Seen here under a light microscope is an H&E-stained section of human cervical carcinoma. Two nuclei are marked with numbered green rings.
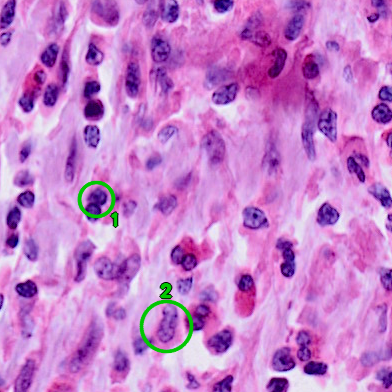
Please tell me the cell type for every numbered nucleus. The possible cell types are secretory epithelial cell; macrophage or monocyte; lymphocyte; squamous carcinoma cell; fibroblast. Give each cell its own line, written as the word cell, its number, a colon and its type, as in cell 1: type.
cell 1: lymphocyte
cell 2: macrophage or monocyte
